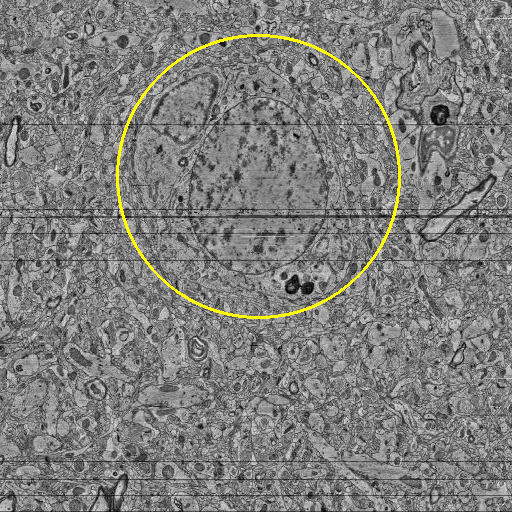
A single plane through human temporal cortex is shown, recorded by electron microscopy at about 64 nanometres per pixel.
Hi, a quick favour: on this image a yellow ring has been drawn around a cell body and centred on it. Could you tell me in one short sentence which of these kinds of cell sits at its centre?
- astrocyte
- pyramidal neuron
The ring is centred on a pyramidal neuron.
